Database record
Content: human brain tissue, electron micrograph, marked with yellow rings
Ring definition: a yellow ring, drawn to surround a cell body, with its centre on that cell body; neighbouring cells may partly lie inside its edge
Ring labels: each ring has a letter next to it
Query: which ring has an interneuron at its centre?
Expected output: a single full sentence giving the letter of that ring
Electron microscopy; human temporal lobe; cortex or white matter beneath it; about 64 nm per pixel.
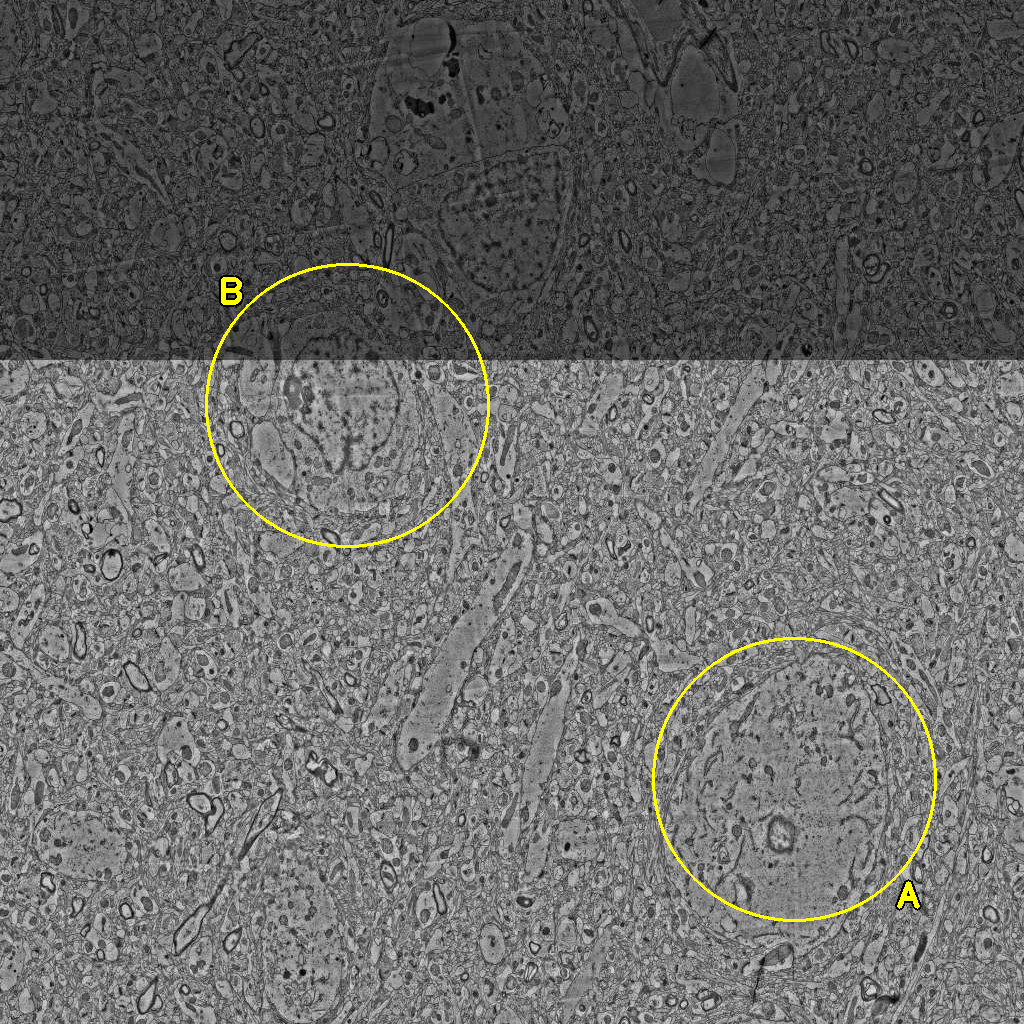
In the picture, the cell being queried lies at the centre of ring B.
